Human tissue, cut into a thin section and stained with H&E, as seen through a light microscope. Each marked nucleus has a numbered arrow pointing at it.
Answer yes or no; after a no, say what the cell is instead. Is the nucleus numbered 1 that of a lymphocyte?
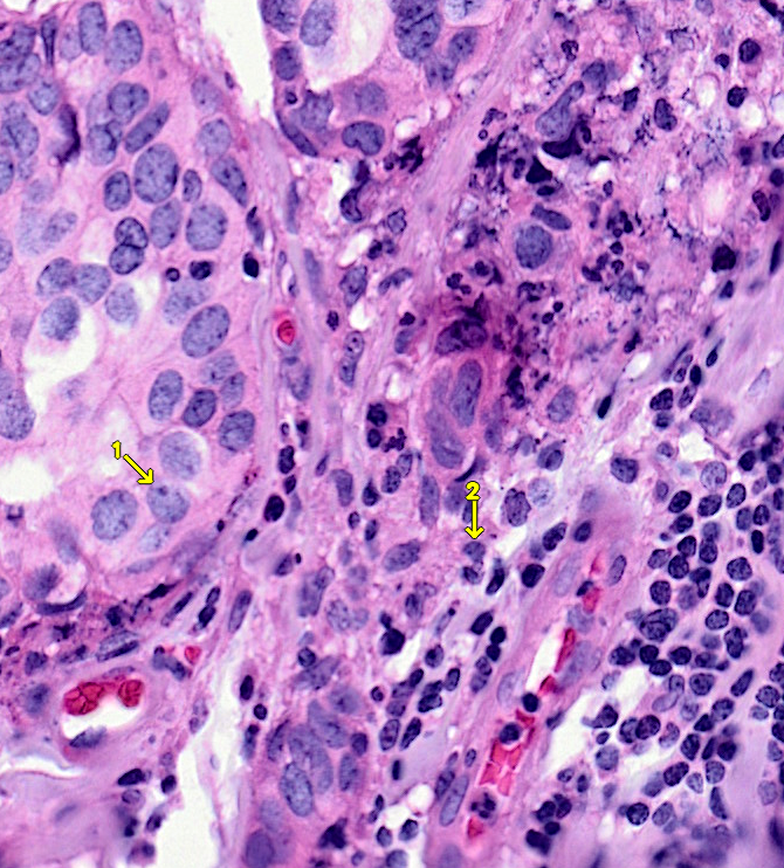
No, it is a carcinoma cell.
